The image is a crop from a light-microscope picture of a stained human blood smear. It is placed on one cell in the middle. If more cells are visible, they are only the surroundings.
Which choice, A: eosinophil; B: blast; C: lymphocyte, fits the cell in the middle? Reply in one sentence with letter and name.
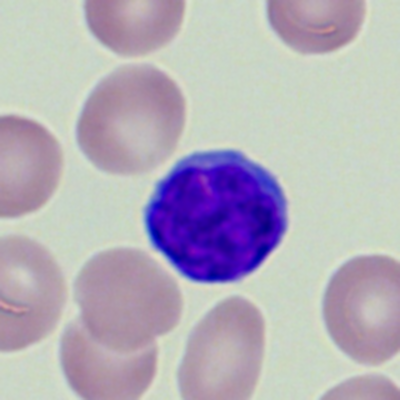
In the middle of the crop is a lymphocyte; option C is therefore correct.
